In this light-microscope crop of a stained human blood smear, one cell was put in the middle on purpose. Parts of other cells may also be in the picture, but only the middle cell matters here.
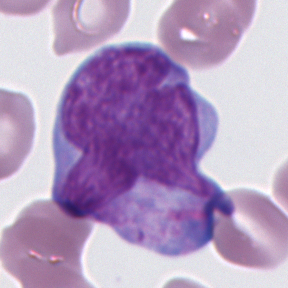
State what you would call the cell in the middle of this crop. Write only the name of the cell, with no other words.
atypical promyelocyte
